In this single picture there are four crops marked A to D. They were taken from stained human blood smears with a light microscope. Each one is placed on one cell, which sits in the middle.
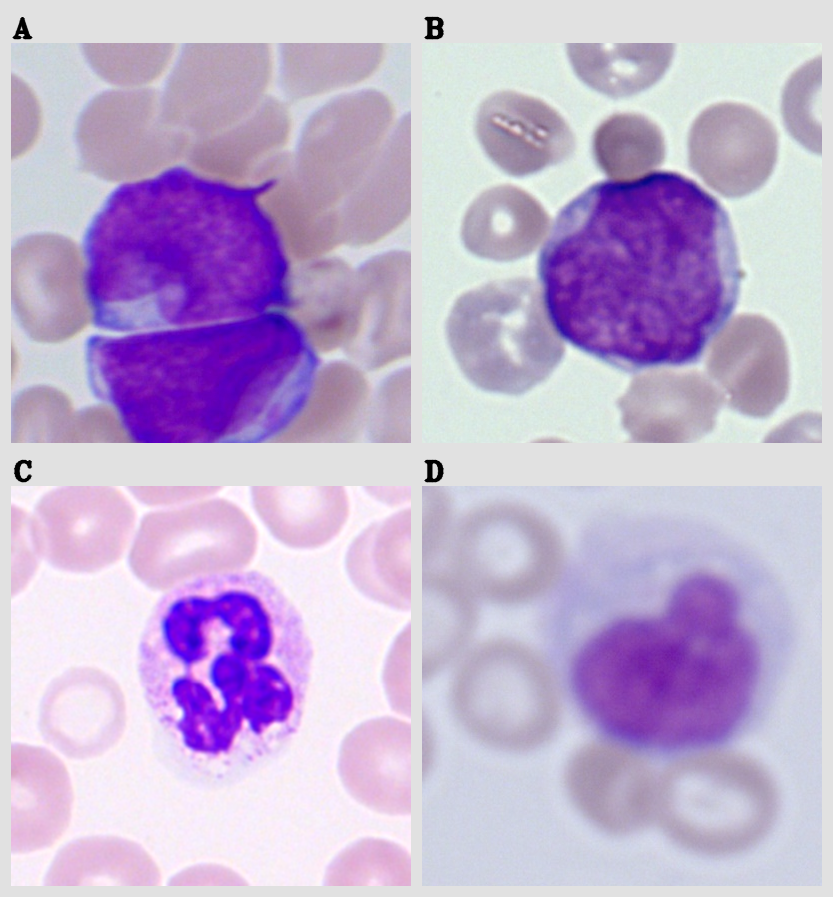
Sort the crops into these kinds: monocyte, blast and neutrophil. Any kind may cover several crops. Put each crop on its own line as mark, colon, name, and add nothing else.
A: blast
B: blast
C: neutrophil
D: monocyte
